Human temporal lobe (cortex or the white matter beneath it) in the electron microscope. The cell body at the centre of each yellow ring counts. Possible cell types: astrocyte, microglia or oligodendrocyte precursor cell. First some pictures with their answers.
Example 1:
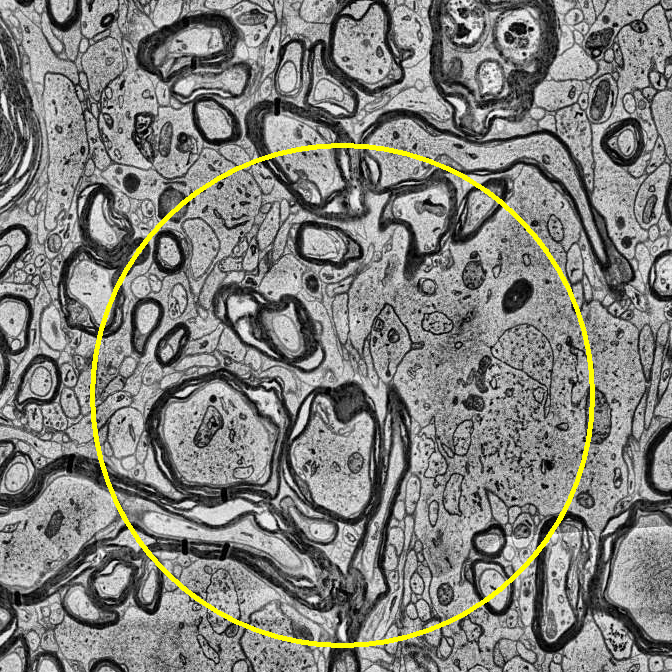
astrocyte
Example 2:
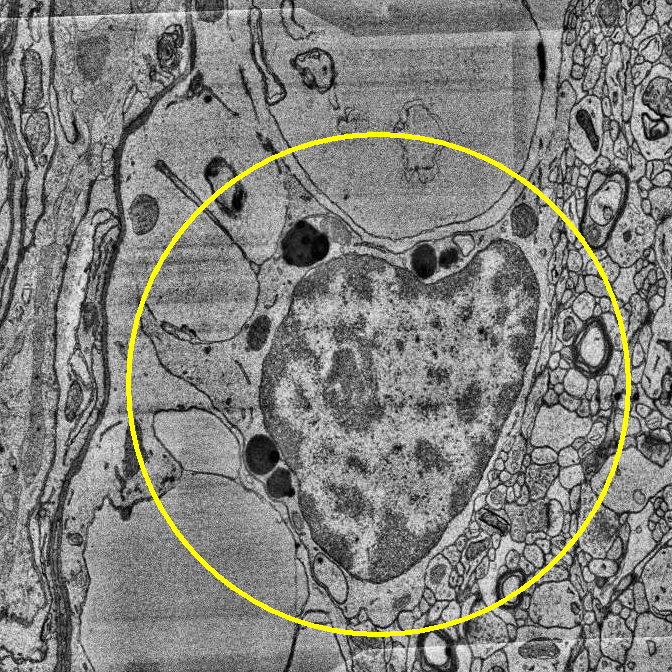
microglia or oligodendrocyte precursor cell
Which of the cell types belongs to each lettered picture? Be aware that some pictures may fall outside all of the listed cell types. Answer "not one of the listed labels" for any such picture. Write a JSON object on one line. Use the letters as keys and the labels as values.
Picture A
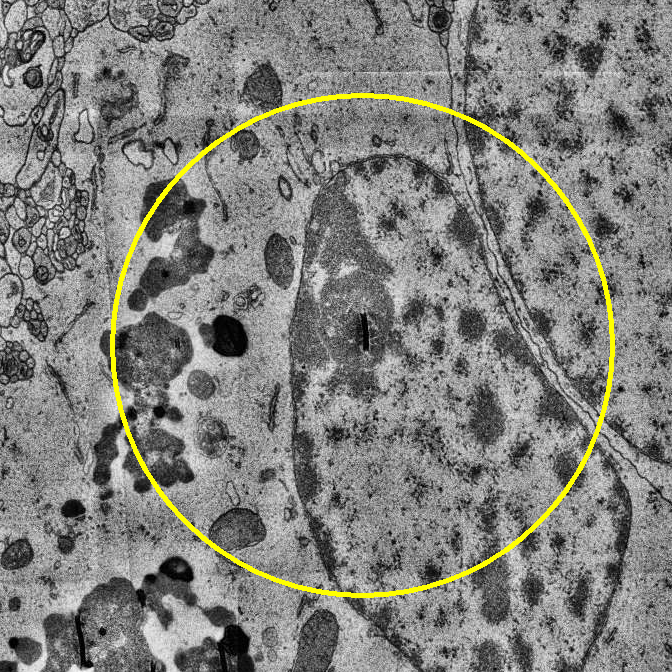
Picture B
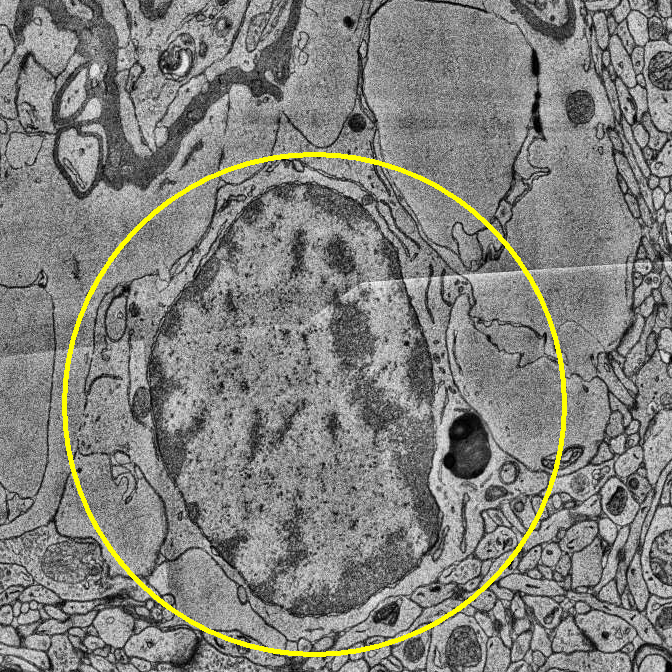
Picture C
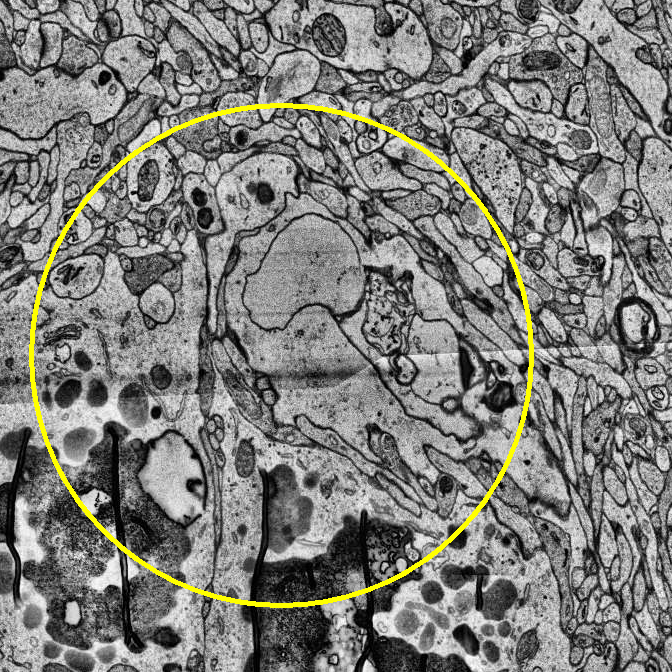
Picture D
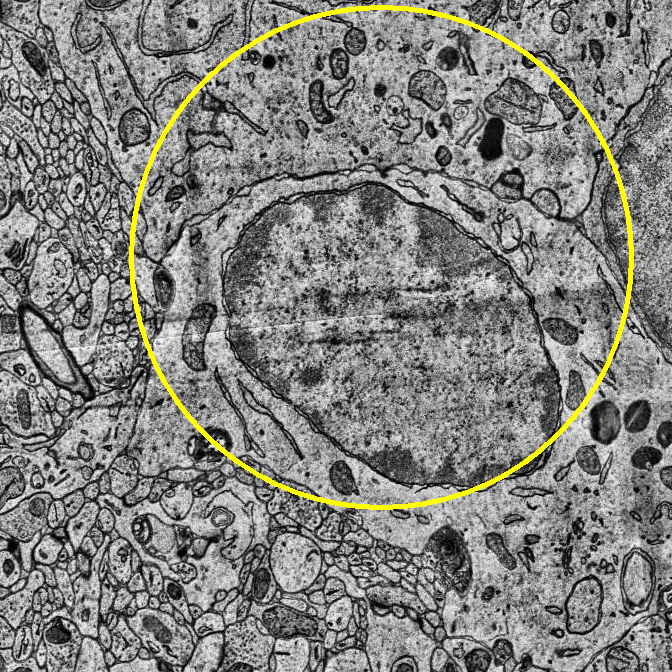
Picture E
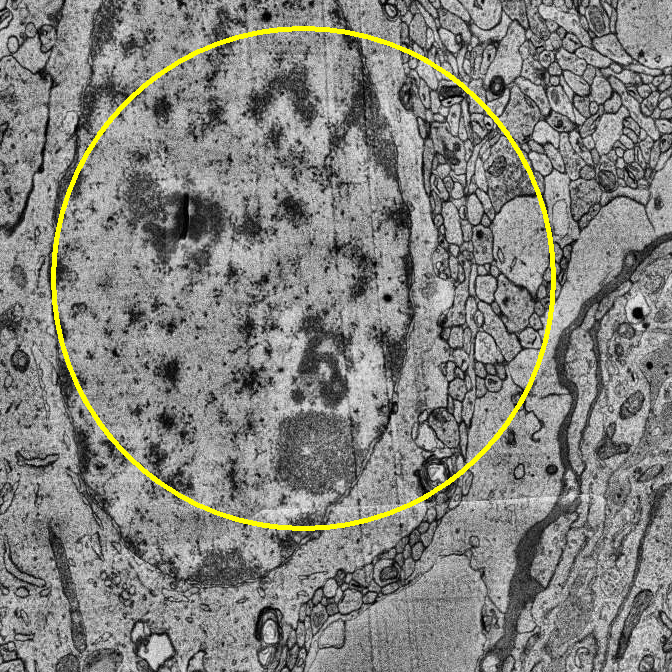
{"A": "astrocyte", "B": "microglia or oligodendrocyte precursor cell", "C": "astrocyte", "D": "microglia or oligodendrocyte precursor cell", "E": "microglia or oligodendrocyte precursor cell"}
